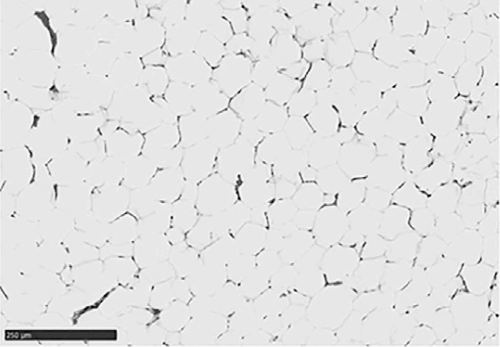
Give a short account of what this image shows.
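This is white fat, a sheet of adipocytes packed edge to edge like a honeycomb. Nuclei are few and appear as small dark flattened smudges pressed into those rims. Here and there the thin septa between cells look slightly thicker and darker, likely small vessels or stromal strands running between the fat cells. The cells vary somewhat in size but have no obvious areas of crowding.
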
